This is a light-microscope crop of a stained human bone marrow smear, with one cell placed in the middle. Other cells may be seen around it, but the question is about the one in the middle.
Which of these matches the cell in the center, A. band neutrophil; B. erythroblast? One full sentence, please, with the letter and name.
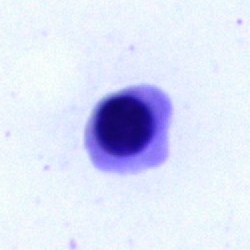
The one cell at the centre is an erythroblast, as correctly stated in option B.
